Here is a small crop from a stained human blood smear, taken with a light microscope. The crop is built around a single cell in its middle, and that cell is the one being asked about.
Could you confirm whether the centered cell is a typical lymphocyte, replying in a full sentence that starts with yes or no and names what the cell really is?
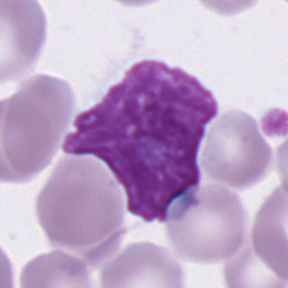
No, the cell under consideration is a smudge cell instead of a typical lymphocyte.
